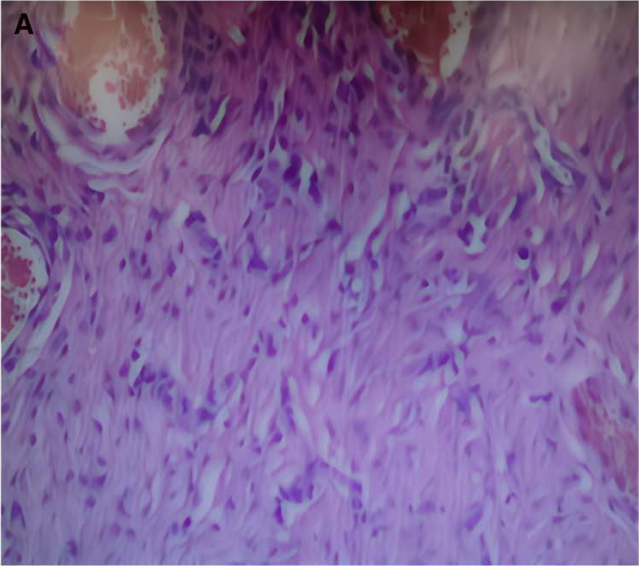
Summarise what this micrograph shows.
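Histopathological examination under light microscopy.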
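This is fibrous connective tissue with many spindle-shaped and irregular cells scattered in a pink, fibrillar matrix. Their nuclei stain dark purple and are elongated to angular, lying in loosely parallel and interlacing arrays. Several blood vessels, cut in cross section, lie along the upper and left edges, with walls of flattened cells and lumens filled with red blood cells.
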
